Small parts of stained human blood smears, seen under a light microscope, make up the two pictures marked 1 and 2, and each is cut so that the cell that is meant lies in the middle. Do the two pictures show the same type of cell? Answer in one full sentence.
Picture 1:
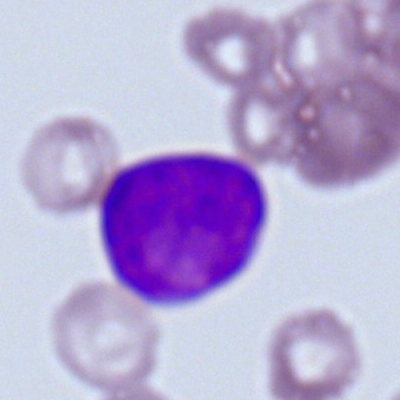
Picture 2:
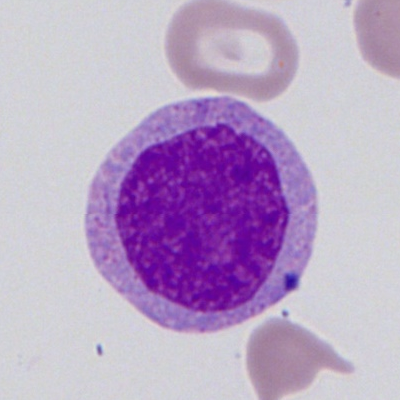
Yes, both cells are myeloblasts.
